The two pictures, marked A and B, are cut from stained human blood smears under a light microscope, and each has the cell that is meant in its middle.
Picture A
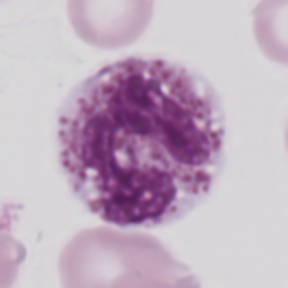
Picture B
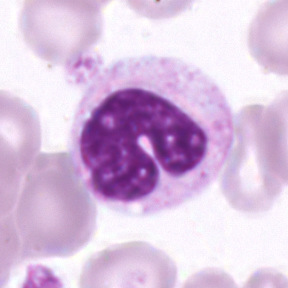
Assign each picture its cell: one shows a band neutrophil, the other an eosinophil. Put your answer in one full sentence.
The cell in picture A is an eosinophil, and the one in picture B is a band neutrophil.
